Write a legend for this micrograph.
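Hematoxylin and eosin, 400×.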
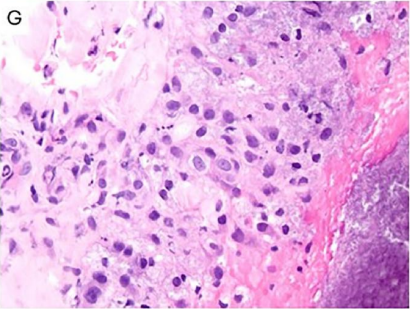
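Sheets of cells with round to oval nuclei and ample pale pink cytoplasm crowd beside a band of bright pink matrix and a dark purple crystal-laden deposit at the lower right. Some cells are enlarged with rounded nuclei and a cartilage-like appearance among the others.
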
